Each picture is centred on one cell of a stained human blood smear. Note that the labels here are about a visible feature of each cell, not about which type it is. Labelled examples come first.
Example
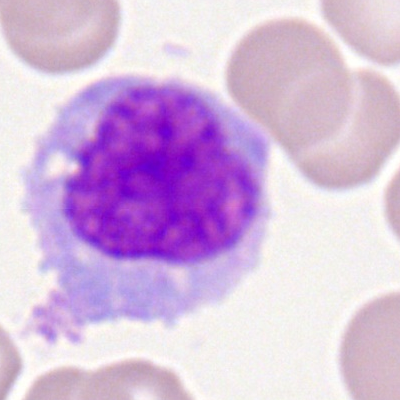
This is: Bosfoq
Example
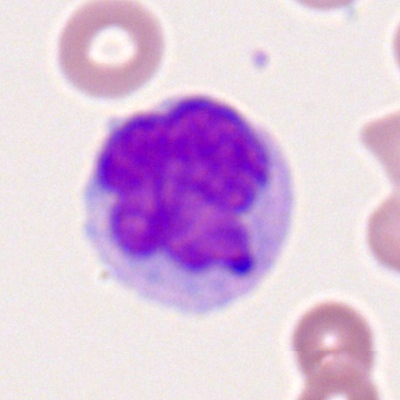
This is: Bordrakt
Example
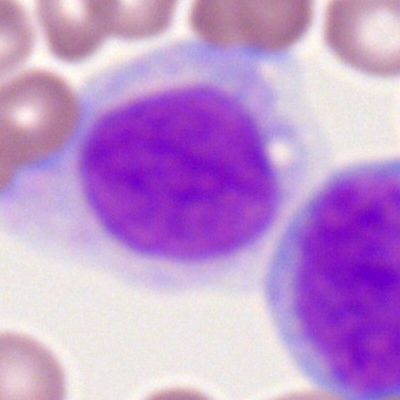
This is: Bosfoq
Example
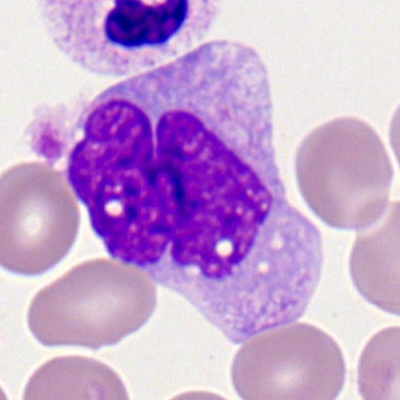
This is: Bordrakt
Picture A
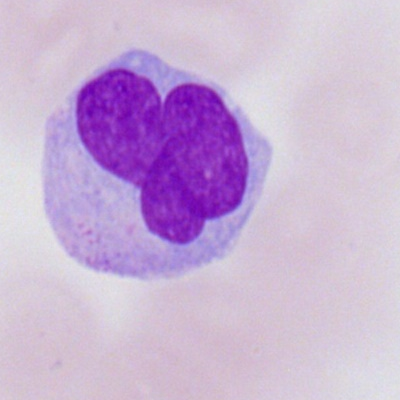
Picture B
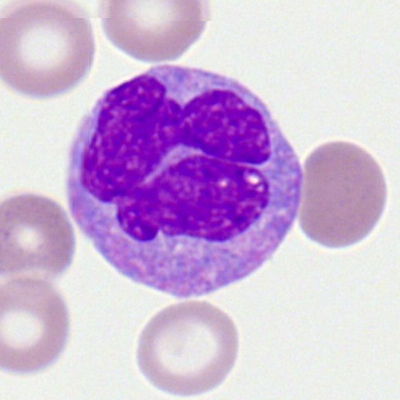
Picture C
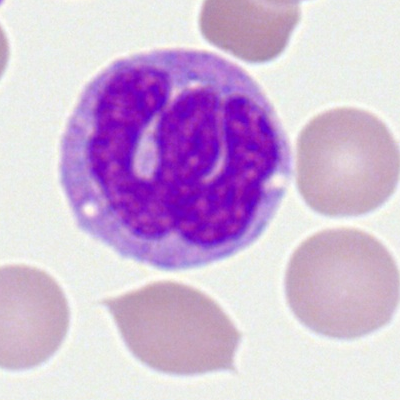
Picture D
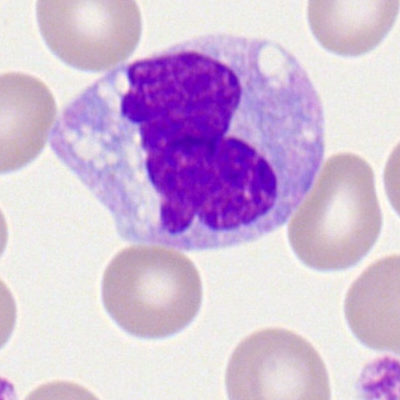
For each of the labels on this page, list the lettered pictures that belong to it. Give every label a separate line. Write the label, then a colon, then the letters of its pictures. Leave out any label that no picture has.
Bordrakt: A, B, C, D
